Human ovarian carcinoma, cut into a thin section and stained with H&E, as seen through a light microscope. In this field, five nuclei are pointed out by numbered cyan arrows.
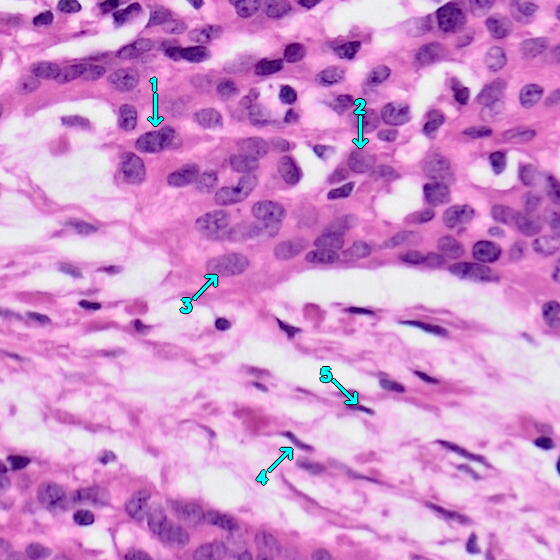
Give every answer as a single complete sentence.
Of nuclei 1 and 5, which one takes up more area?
Nucleus 1 covers more area, about 4 times as much as nucleus 5.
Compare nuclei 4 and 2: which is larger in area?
Nucleus 2 covers more area, about 2.5 times as much as nucleus 4.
